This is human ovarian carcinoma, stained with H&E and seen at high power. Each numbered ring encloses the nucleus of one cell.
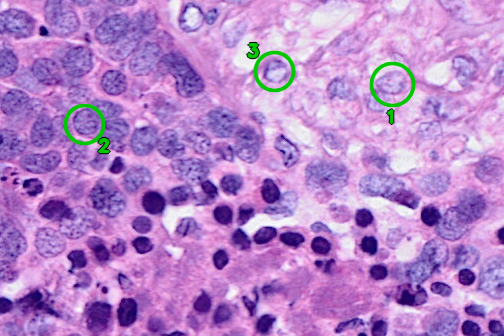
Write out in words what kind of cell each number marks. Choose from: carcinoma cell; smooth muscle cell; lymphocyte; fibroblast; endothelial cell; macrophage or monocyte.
Cell 1 is a fibroblast, cell 2 is a carcinoma cell and cell 3 is a fibroblast.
